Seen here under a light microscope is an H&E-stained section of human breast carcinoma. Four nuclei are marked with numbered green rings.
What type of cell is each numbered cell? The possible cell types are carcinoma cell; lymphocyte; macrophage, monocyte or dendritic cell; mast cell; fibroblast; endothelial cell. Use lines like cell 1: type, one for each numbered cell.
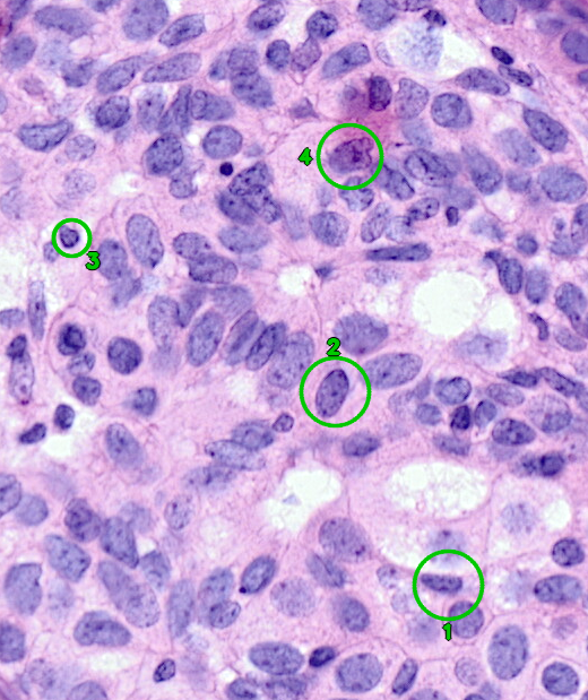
cell 1: carcinoma cell
cell 2: carcinoma cell
cell 3: lymphocyte
cell 4: carcinoma cell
